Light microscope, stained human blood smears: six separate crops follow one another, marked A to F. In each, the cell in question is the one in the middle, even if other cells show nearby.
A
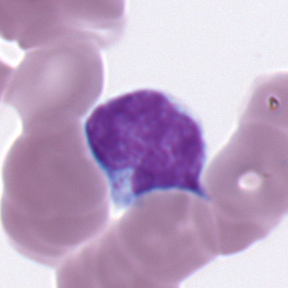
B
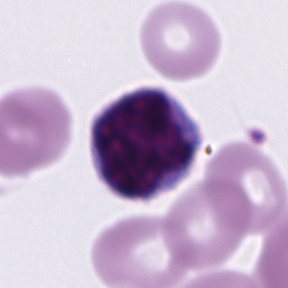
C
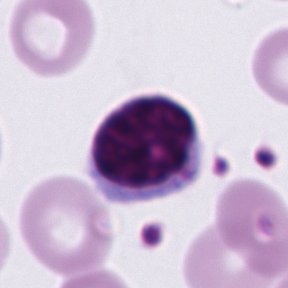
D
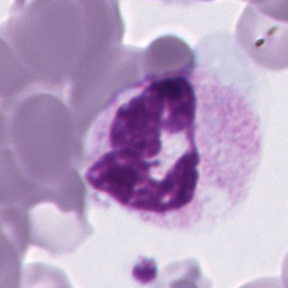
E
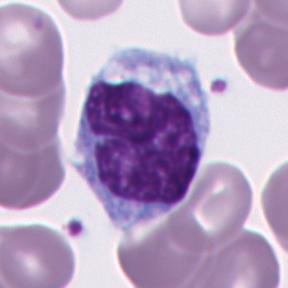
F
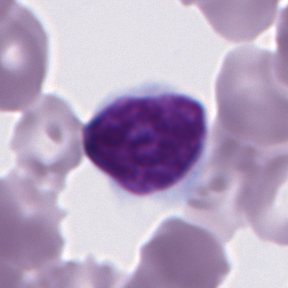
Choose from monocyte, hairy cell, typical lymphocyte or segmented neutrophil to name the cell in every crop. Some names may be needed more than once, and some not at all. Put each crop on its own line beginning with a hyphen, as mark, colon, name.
- A: typical lymphocyte
- B: typical lymphocyte
- C: typical lymphocyte
- D: segmented neutrophil
- E: monocyte
- F: hairy cell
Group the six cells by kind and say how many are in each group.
typical lymphocyte: 3
segmented neutrophil: 1
monocyte: 1
hairy cell: 1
